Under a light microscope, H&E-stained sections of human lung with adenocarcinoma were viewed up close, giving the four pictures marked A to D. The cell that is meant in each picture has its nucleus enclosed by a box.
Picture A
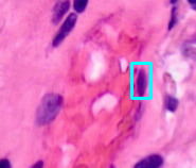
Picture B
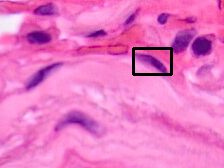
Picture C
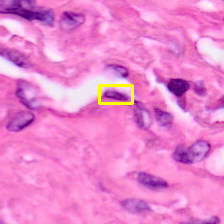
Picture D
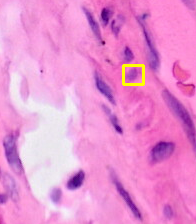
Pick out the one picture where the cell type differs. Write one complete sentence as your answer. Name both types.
Picture D differs, because its cell is a “smooth muscle cell or pericyte” and the rest are endothelial cells.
